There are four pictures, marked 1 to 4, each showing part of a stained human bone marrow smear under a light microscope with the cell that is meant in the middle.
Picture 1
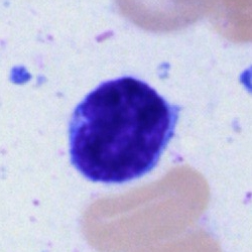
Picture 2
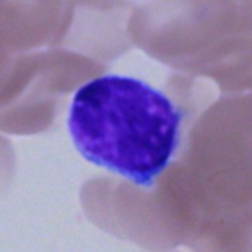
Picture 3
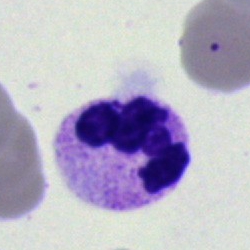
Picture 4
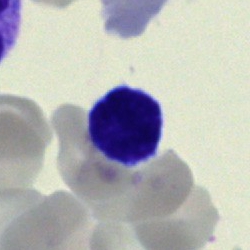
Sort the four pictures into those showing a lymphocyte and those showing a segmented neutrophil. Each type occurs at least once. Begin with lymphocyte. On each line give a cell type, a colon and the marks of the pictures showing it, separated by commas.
lymphocyte: 1, 2, 4
segmented neutrophil: 3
